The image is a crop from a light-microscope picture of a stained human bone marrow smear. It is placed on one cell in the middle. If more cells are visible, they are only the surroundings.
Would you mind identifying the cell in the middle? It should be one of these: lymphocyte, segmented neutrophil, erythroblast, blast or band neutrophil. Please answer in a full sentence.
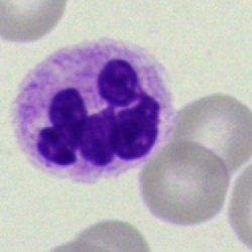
In the crop, the cell of interest at the centre is a segmented neutrophil.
